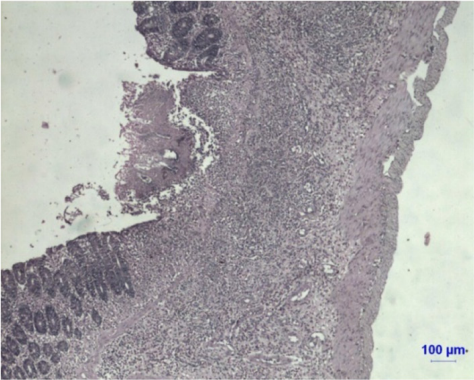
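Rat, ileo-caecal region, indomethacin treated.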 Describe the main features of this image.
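At the lower left and upper edge some mucosa survives, with purple-stained glands cut in section, but across the middle the surface lining and glands are gone. Debris and a detached pinkish fragment sit at the luminal surface. Toward the right the smooth muscle coat runs as a pale pink band along the outer edge of the wall.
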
